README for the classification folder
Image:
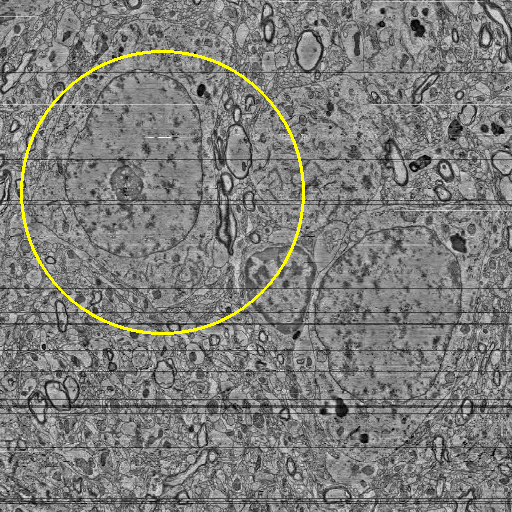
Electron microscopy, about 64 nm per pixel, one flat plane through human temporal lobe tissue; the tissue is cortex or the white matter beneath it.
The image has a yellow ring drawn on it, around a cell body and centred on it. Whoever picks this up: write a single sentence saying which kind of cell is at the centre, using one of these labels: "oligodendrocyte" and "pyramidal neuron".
This cell body is that of a pyramidal neuron.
